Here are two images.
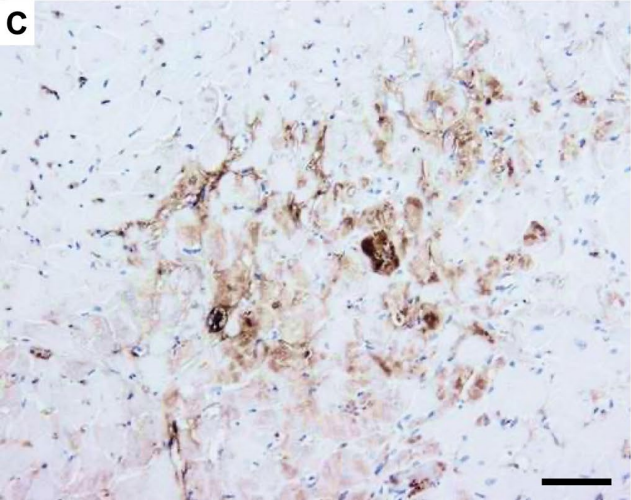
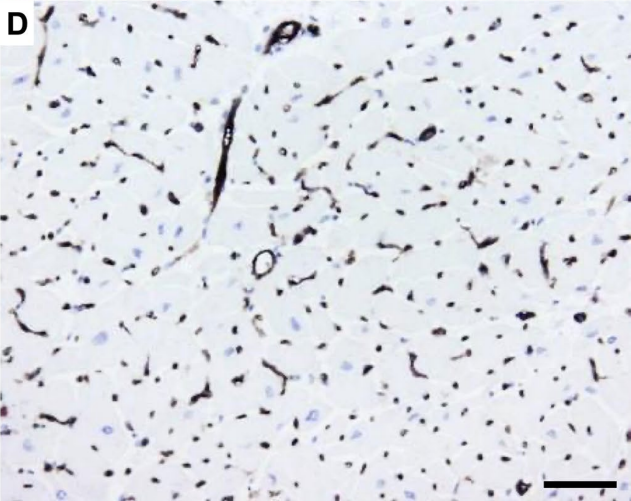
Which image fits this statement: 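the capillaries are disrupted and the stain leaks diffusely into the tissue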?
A: the first image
